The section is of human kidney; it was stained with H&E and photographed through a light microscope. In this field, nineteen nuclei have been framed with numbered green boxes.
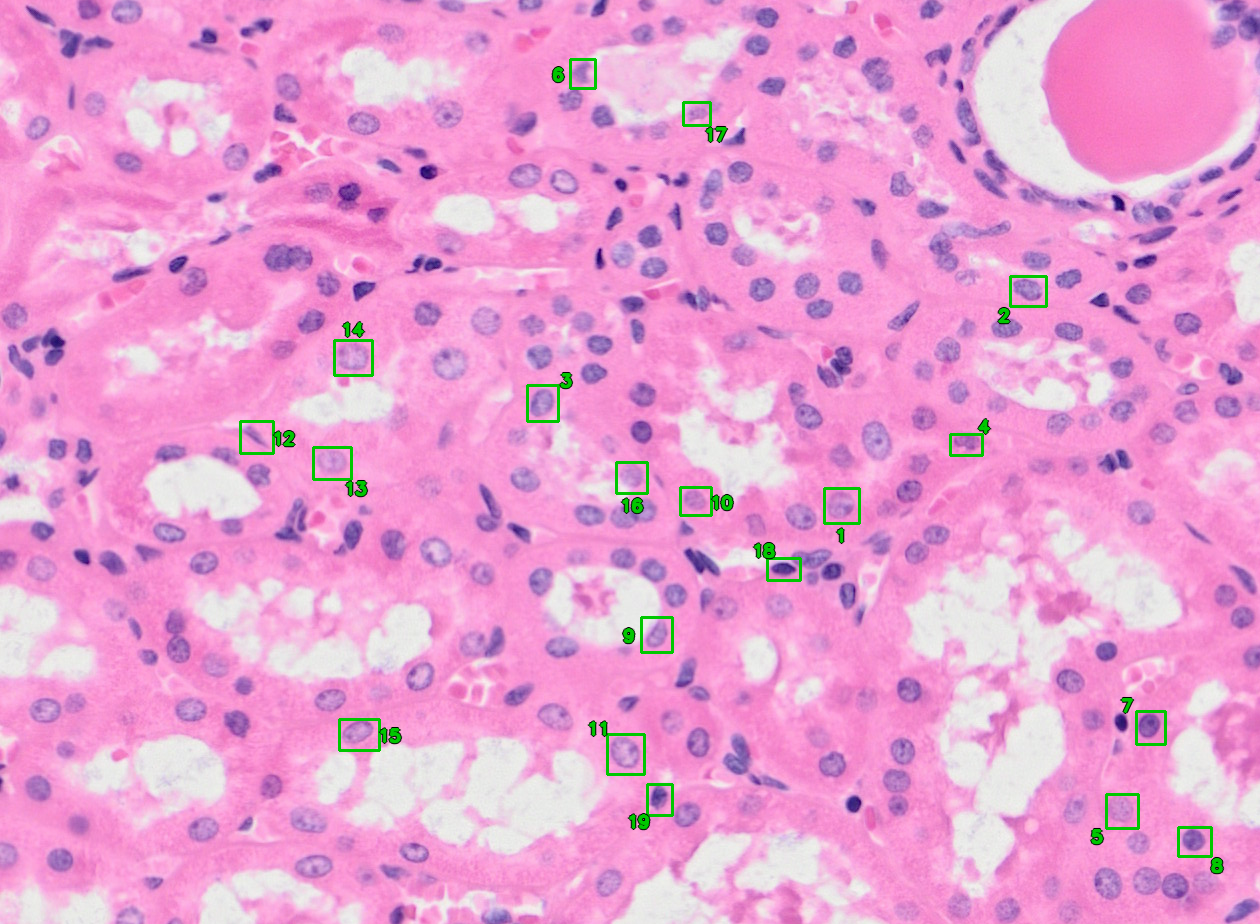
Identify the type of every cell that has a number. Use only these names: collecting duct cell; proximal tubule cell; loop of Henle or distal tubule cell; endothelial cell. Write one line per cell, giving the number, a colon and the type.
1: proximal tubule cell
2: loop of Henle or distal tubule cell
3: loop of Henle or distal tubule cell
4: proximal tubule cell
5: proximal tubule cell
6: loop of Henle or distal tubule cell
7: proximal tubule cell
8: proximal tubule cell
9: loop of Henle or distal tubule cell
10: proximal tubule cell
11: proximal tubule cell
12: endothelial cell
13: proximal tubule cell
14: proximal tubule cell
15: proximal tubule cell
16: loop of Henle or distal tubule cell
17: loop of Henle or distal tubule cell
18: endothelial cell
19: endothelial cell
